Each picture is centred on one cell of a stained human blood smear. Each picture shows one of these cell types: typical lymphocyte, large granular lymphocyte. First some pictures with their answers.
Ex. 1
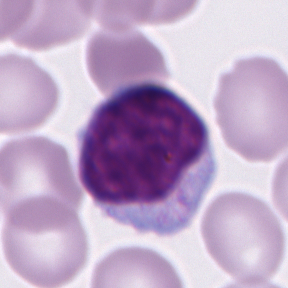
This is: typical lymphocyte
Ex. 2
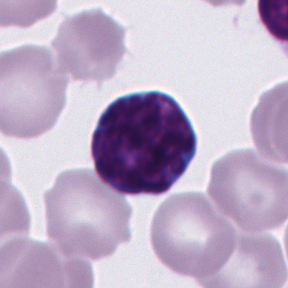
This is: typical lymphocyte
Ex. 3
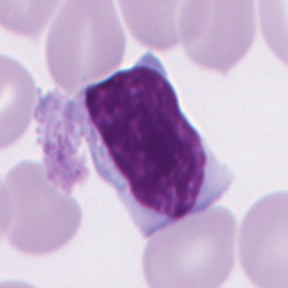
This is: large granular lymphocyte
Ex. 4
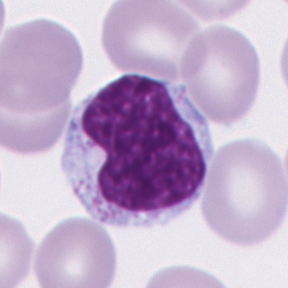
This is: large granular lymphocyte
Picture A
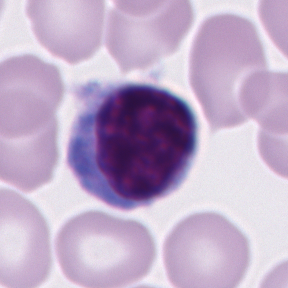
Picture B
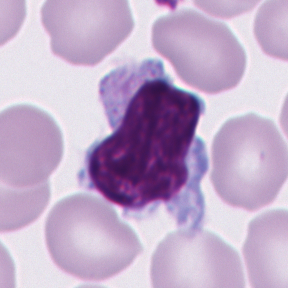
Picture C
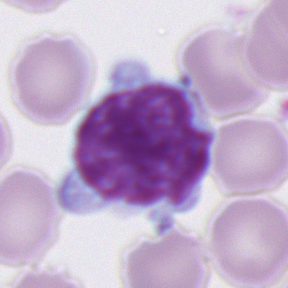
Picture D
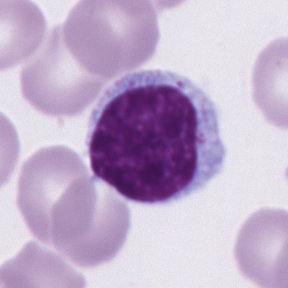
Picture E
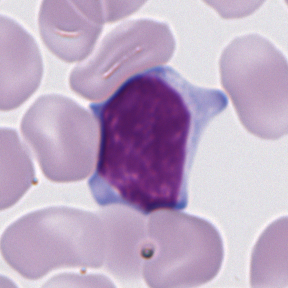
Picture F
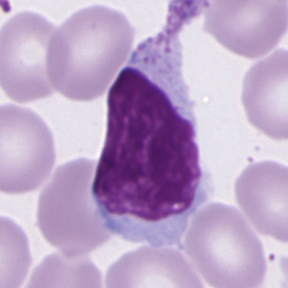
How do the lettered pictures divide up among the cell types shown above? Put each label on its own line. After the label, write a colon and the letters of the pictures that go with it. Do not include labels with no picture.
typical lymphocyte: A, B, C, E
large granular lymphocyte: D, F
